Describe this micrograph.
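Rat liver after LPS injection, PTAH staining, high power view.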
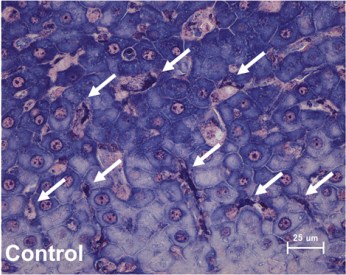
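Between the cords run pale sinusoidal spaces. In several of these spaces lie dark blue-purple, elongated, strand-like deposits. These deposits follow the course of the sinusoids rather than lying inside the hepatocytes.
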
